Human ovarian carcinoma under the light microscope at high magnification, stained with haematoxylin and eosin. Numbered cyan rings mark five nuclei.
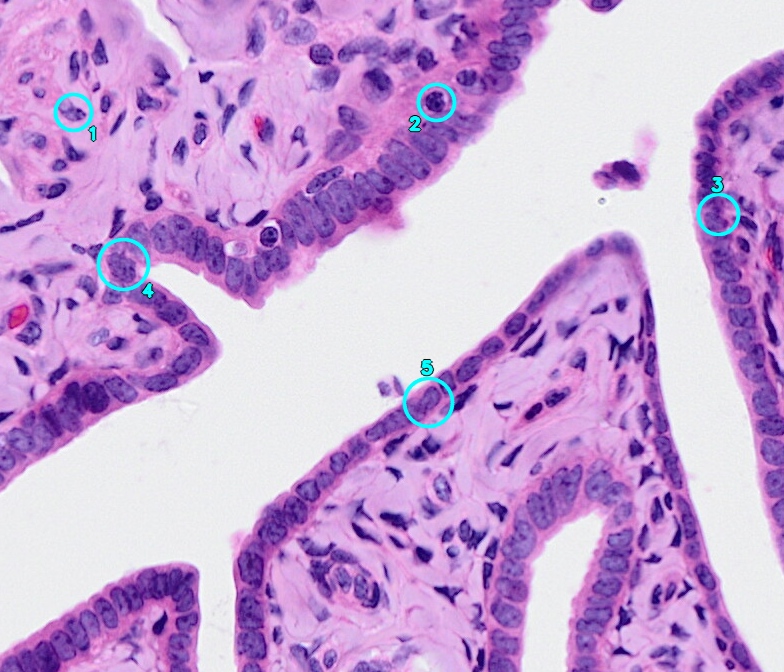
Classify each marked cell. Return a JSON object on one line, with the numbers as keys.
{"1": "smooth muscle cell", "2": "lymphocyte", "3": "carcinoma cell", "4": "carcinoma cell", "5": "carcinoma cell"}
